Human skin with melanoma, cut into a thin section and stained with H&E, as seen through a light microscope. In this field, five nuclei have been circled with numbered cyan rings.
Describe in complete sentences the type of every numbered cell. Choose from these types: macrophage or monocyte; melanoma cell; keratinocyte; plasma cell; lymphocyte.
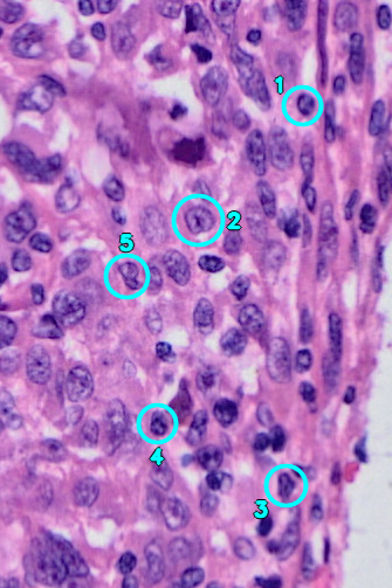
Cell 1 is a lymphocyte, cell 2 is a melanoma cell, cell 3 is a lymphocyte, cell 4 is a lymphocyte and cell 5 is a macrophage or monocyte.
